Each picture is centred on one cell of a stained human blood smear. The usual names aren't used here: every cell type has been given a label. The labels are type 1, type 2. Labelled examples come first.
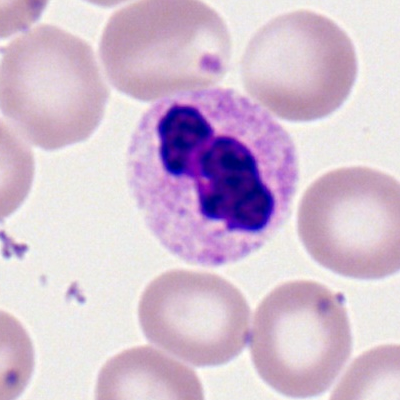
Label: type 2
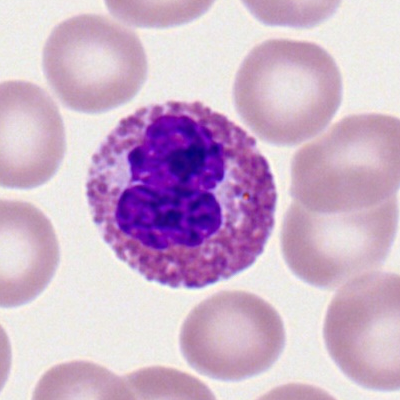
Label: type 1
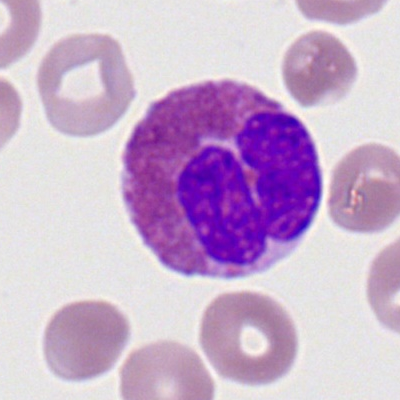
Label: type 1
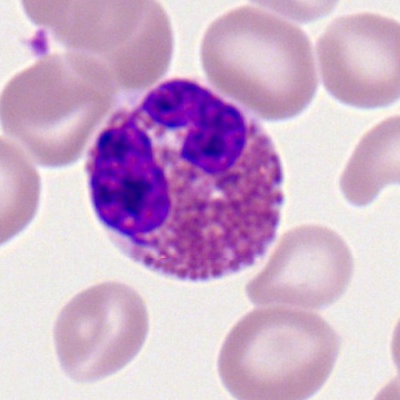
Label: type 1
